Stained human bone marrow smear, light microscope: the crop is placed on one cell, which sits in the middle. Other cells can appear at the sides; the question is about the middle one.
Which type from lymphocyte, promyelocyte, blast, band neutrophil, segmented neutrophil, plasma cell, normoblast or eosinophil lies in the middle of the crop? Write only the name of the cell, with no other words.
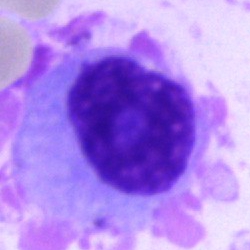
plasma cell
